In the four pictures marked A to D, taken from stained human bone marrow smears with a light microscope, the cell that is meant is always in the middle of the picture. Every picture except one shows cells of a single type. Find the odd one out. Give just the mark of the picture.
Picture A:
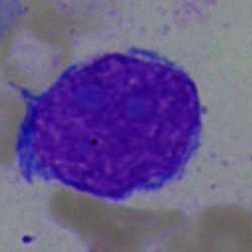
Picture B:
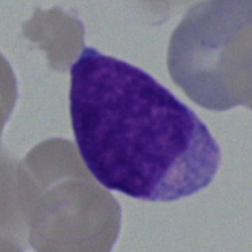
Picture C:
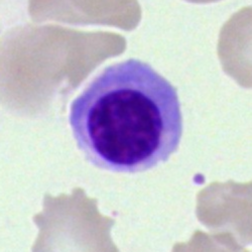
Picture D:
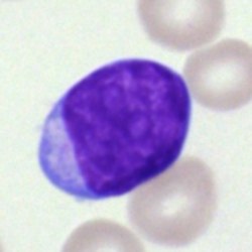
C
